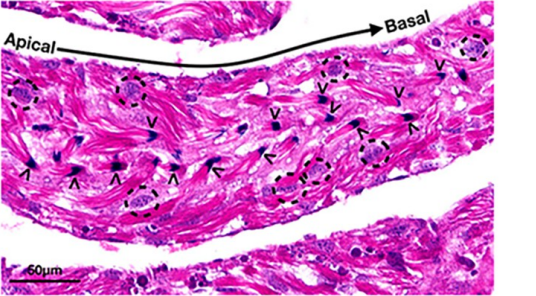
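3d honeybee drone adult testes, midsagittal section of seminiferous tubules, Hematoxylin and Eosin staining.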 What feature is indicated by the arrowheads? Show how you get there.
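Spermiogenic bundles. The arrowheads point to small, dense, dark purple bodies. Pink fibrous strands run out from these dark bodies.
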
